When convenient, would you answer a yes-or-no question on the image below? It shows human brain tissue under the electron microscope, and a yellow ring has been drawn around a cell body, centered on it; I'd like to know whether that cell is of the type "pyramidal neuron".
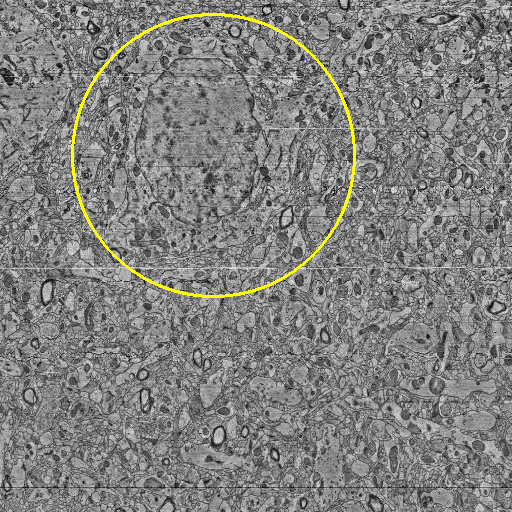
no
